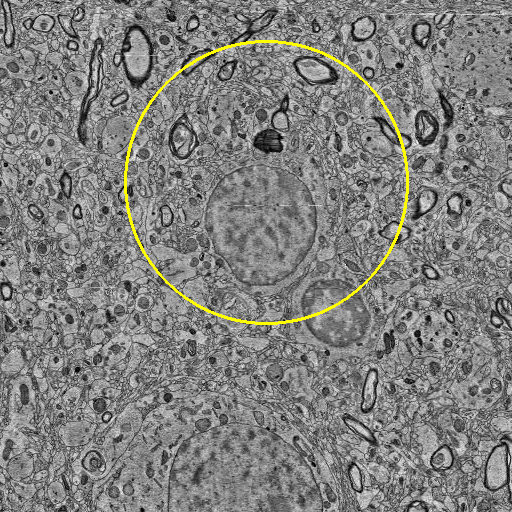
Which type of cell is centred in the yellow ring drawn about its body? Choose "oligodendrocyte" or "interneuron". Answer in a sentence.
The yellow ring surrounds the cell body of an oligodendrocyte.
